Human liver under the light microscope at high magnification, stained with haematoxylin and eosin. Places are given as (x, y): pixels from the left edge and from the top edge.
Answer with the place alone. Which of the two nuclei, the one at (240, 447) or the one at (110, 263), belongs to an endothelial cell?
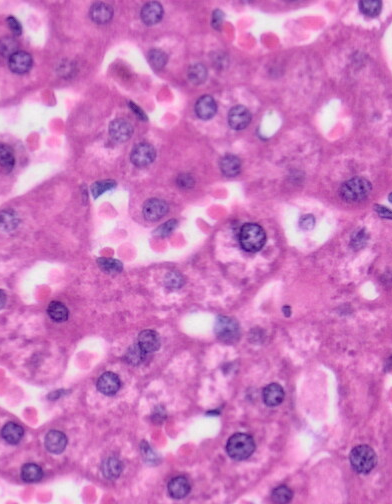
(110, 263)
